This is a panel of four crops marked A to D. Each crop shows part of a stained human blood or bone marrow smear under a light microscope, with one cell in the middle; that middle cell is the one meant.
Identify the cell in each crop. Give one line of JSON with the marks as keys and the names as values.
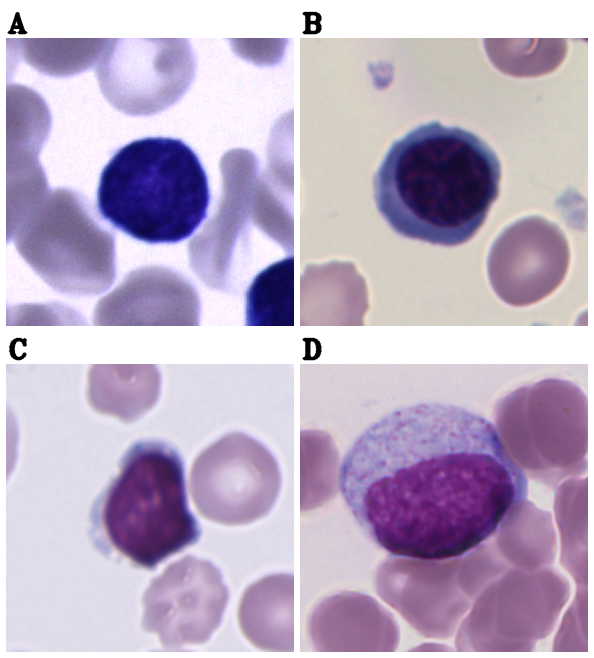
{"A": "lymphocyte", "B": "erythroblast", "C": "lymphocyte", "D": "promyelocyte"}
